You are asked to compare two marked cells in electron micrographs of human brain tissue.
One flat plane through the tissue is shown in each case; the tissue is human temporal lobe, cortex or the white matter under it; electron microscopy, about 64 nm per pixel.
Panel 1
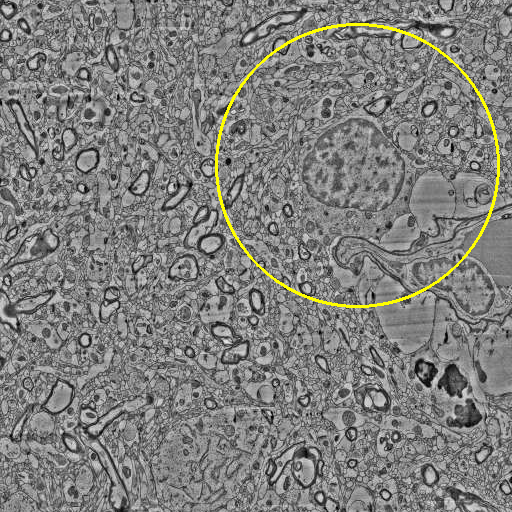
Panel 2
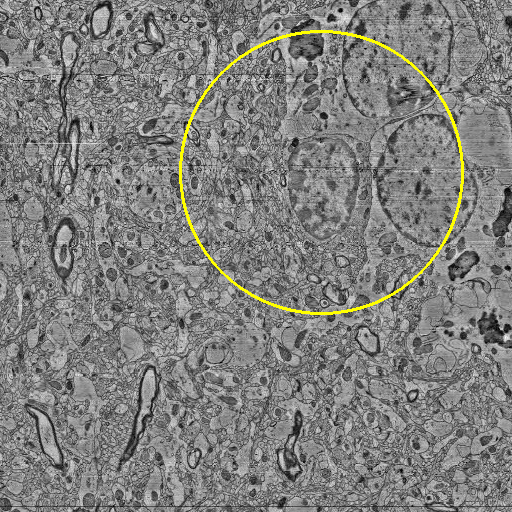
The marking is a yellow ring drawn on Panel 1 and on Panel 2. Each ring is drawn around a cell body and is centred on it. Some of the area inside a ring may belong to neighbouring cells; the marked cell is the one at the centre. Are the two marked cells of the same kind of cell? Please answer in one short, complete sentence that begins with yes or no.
Yes, the two marked cells are of the same kind.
